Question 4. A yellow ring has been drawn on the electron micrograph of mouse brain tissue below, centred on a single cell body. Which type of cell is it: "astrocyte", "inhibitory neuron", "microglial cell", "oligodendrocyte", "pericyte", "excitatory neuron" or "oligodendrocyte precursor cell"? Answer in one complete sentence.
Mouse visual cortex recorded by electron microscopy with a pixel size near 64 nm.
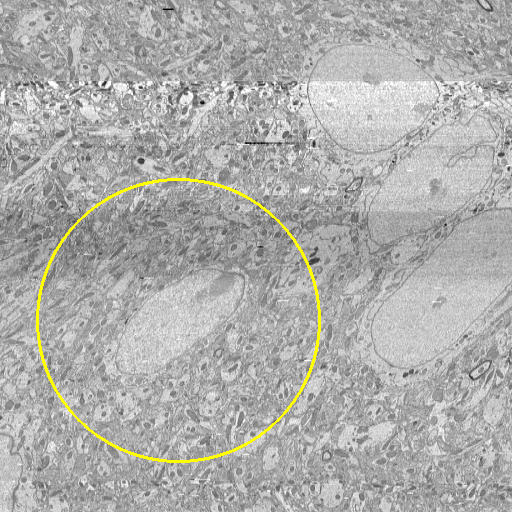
This cell body belongs to an astrocyte.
